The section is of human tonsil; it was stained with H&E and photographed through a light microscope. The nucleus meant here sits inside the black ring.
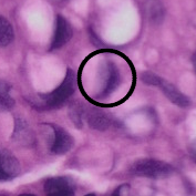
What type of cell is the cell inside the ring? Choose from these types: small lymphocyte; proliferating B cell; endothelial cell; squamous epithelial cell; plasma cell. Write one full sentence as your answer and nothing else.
It is as a squamous epithelial cell that the cell inside the ring is classified.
